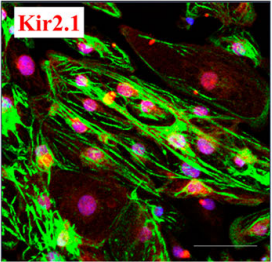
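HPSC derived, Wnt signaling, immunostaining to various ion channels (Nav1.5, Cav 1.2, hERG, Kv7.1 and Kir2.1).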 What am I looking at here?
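These are cultured heart muscle cells, spread out as elongated and irregular flat cells. Green filament bundles run in parallel along the length of the cells, tracing their contractile apparatus. A red stain fills the cytoplasm of many cells and appears around and over the nuclei, giving some nuclei a pinkish tone.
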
